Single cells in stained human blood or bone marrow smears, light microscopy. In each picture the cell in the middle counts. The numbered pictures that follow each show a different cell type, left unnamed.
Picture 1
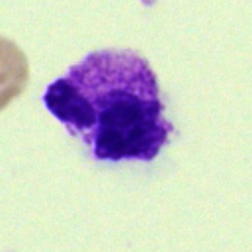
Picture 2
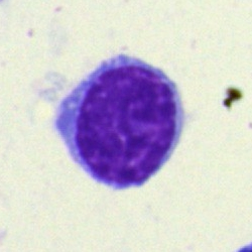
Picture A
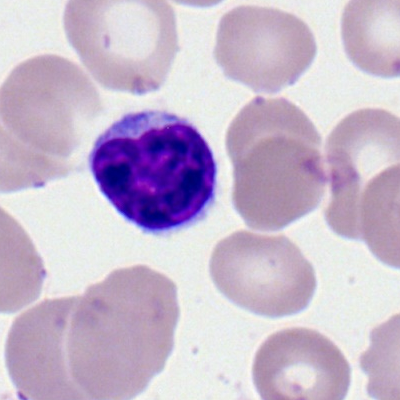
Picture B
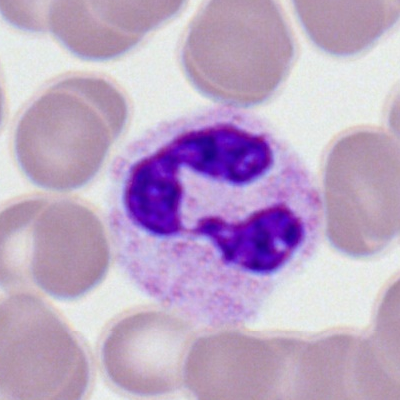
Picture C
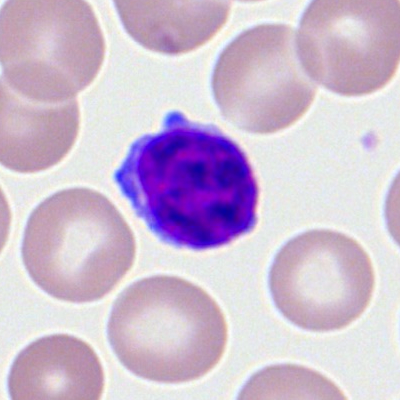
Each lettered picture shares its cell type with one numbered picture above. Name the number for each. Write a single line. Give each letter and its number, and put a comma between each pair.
A 2, B 1, C 2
